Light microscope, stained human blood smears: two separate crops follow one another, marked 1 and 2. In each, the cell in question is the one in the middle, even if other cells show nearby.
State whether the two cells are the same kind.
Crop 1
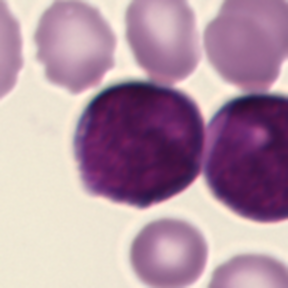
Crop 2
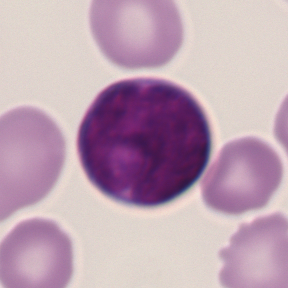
yes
